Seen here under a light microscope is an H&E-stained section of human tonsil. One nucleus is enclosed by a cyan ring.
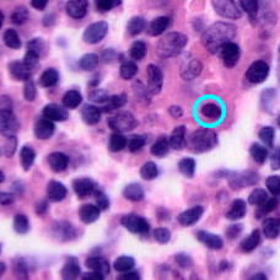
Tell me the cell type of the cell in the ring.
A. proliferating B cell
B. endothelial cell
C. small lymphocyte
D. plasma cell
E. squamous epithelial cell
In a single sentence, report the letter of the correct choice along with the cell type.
Option B gets it right, as the cell in the ring is an endothelial cell.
